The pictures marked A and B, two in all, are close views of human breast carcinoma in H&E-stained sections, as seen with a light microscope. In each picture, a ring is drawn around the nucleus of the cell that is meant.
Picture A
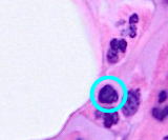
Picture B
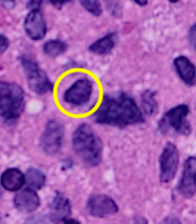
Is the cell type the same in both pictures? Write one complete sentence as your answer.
No, the types are not the same, since picture A shows a lymphocyte and picture B a carcinoma cell.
